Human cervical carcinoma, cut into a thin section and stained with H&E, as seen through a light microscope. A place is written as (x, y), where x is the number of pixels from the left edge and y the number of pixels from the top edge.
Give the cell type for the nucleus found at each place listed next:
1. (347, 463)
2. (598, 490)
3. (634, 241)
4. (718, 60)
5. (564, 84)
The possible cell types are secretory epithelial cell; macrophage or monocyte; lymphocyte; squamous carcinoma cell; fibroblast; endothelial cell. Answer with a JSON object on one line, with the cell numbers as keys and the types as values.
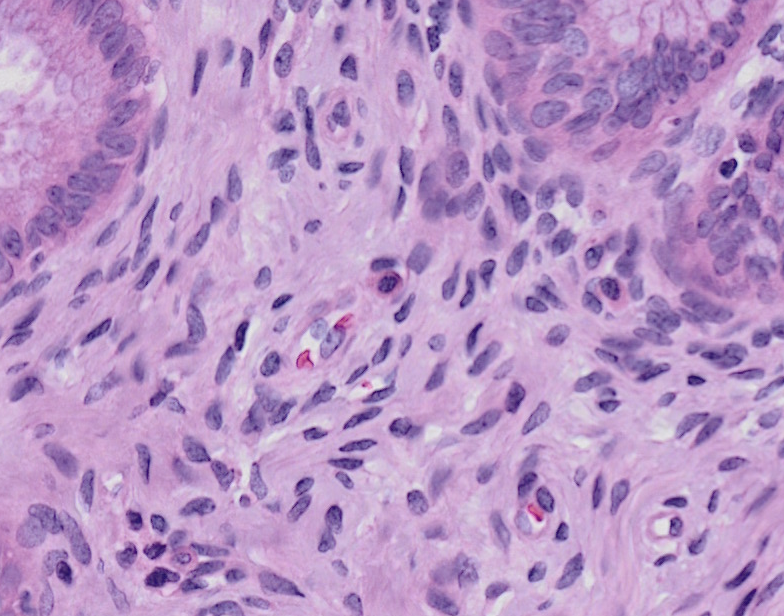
{"1": "fibroblast", "2": "fibroblast", "3": "fibroblast", "4": "secretory epithelial cell", "5": "secretory epithelial cell"}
